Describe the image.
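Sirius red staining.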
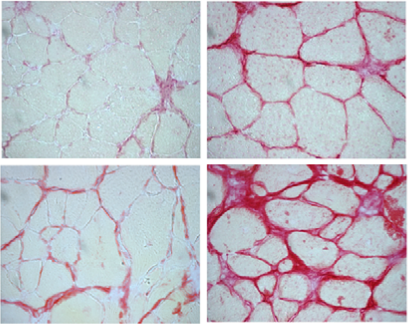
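Four fields of transversely cut skeletal muscle show large, pale, rounded-to-polygonal muscle fibers packed side by side, each outlined by a red-stained network of connective tissue. In some fields the red septa are thin lines, while in others they are thick and form dense red patches between fibers of uneven size, marking an increase of fibrous tissue between the fibers.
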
